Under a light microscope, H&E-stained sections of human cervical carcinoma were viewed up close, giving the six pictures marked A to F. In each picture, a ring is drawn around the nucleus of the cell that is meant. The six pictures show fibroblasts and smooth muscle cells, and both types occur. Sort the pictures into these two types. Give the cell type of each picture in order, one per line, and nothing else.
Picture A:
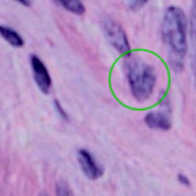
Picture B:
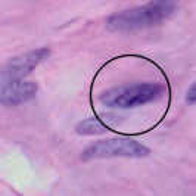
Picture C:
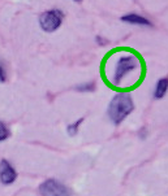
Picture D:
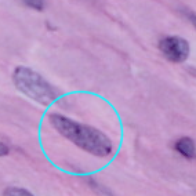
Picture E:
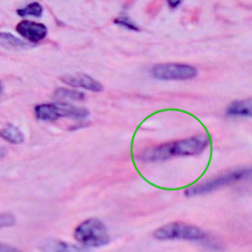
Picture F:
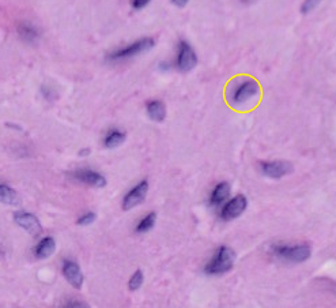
smooth muscle cell
fibroblast
fibroblast
fibroblast
smooth muscle cell
fibroblast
